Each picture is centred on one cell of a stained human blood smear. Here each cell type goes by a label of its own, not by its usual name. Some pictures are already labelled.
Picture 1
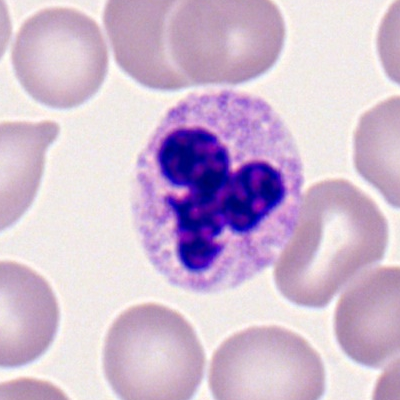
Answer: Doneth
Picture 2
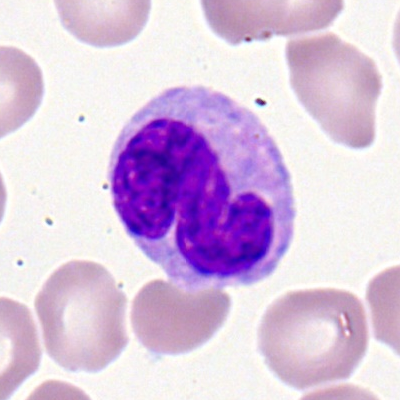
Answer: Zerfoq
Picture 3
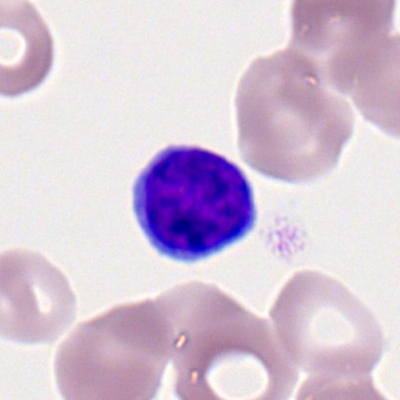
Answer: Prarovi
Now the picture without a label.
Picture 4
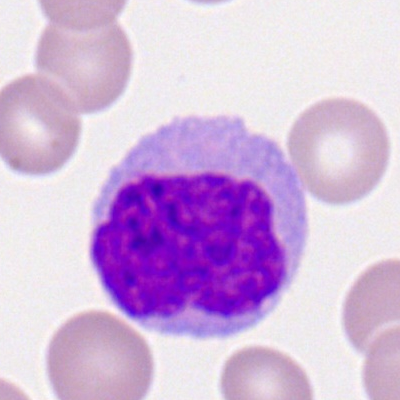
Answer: Zerfoq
